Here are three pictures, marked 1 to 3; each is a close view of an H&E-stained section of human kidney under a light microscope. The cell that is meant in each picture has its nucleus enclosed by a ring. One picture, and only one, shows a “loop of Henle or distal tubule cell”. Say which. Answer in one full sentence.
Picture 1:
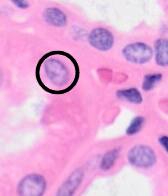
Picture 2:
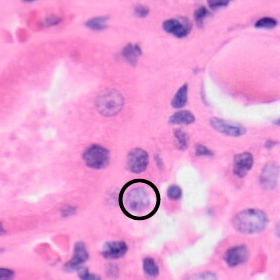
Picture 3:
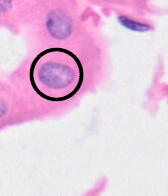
It is picture 2 that shows the “loop of Henle or distal tubule cell”.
